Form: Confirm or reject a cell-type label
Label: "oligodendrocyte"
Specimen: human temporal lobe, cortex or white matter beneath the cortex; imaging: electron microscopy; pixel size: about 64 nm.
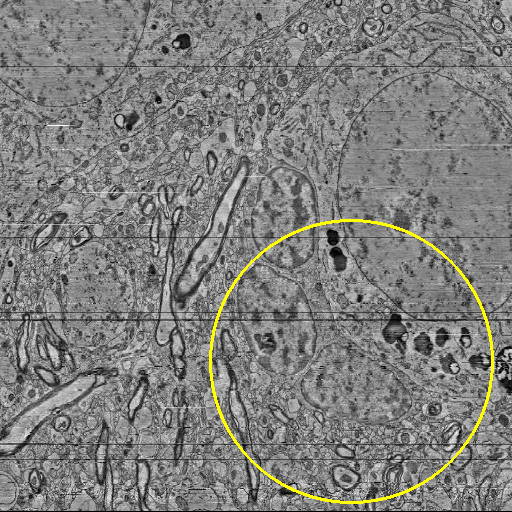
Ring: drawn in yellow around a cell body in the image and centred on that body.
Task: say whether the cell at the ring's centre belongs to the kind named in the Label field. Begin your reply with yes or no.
Yes, it belongs to that kind.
